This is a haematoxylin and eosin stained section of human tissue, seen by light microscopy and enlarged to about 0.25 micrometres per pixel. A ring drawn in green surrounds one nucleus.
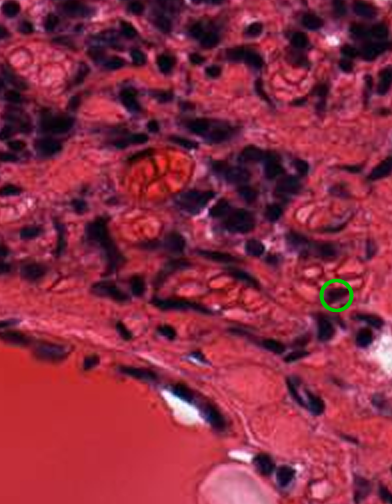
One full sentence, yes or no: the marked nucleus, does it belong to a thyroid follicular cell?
No, the marked nucleus forms part of a supporting cell instead of a thyroid follicular cell.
